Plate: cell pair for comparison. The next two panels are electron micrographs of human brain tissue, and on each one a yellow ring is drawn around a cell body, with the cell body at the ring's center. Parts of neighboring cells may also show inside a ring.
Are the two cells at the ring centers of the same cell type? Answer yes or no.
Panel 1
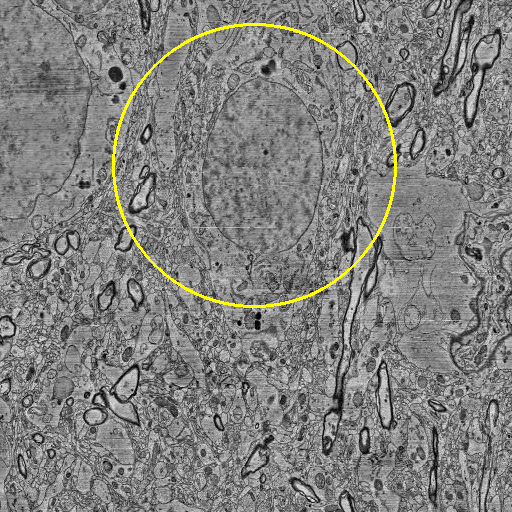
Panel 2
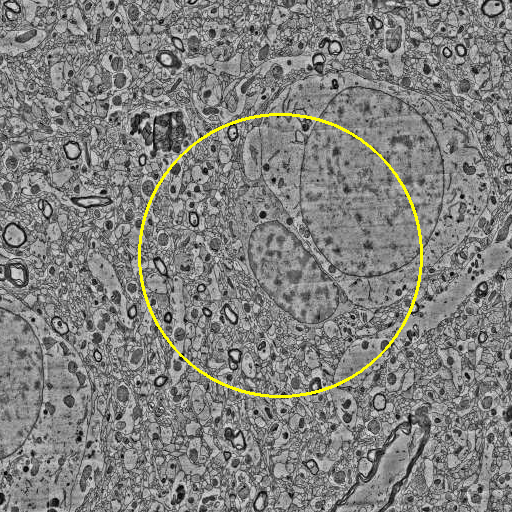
no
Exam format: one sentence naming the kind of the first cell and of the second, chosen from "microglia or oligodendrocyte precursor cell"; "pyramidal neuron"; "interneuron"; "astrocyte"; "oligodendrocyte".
The first picture's cell is an interneuron, and the second picture's cell is an oligodendrocyte.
